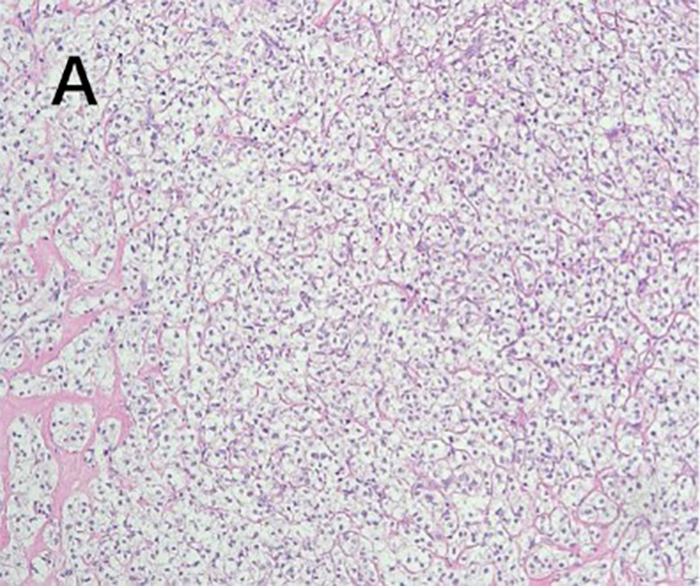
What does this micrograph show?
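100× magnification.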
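Epithelioid cells with clear cytoplasm arranged in nests and sheets. A delicate network of thin pink strands, the thin-walled small vessels, separates the cell nests, with broader pink stroma at the left edge.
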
